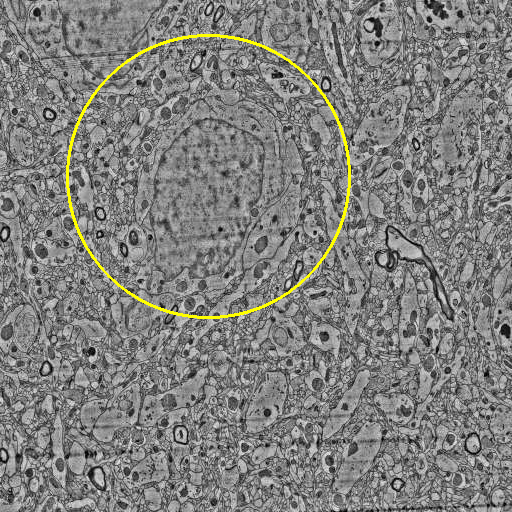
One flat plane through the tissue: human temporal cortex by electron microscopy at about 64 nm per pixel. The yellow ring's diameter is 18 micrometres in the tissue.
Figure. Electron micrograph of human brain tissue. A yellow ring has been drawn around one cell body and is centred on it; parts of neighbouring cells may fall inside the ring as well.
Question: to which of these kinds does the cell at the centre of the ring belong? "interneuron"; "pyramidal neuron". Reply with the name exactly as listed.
interneuron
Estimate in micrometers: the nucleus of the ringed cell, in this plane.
At approximately 11 by 7 micrometres, the nucleus is clearly longer than it is wide in this plane.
